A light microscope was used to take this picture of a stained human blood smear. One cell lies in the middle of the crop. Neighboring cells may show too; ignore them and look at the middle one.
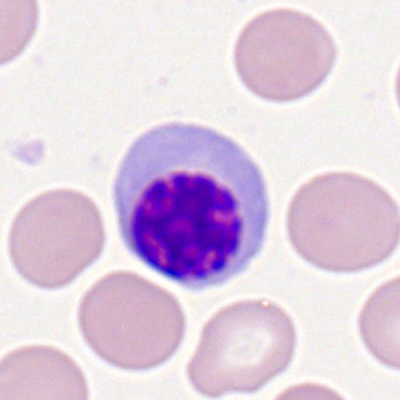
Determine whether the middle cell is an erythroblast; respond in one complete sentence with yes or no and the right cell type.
Yes, the cell right in the middle is an erythroblast.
